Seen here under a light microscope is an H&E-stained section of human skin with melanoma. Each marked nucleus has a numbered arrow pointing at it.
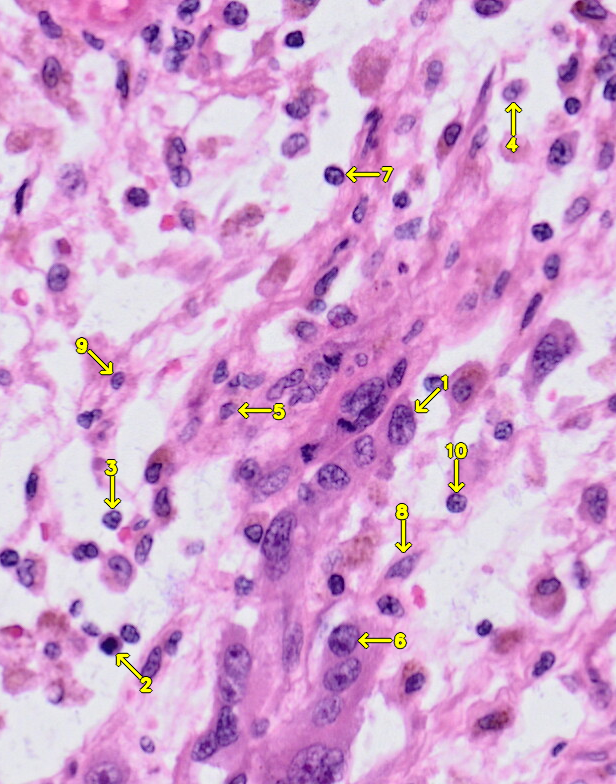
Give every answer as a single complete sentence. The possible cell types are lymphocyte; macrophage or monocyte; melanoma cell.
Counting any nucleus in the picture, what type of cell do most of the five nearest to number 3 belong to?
Macrophages or monocytes account for more than half of the five nuclei nearest to number 3.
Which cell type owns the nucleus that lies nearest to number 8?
The nucleus nearest to number 8 is that of a lymphocyte.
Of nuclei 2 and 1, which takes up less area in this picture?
Number 2 is smaller, since number 1 takes up about 3 times as much area.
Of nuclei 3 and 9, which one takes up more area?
The larger nucleus is 3, at roughly 1.5 times the area of 9.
